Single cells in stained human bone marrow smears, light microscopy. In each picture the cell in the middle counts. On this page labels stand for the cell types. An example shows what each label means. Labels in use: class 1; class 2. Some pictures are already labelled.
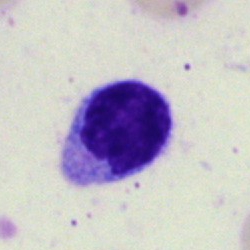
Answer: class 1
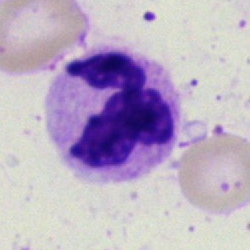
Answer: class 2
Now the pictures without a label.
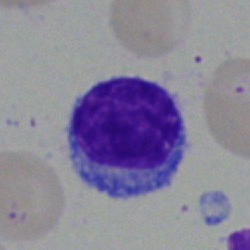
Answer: class 1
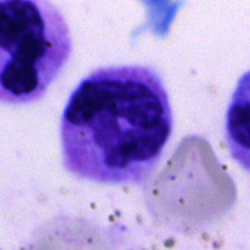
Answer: class 2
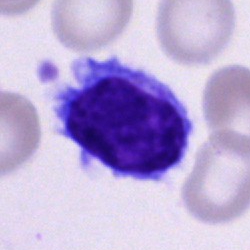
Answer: class 1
